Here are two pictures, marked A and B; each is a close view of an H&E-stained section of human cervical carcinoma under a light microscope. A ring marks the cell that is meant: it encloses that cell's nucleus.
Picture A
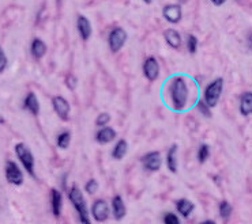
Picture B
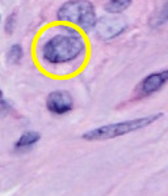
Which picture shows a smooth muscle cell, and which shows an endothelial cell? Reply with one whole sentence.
Picture A is of a smooth muscle cell, and picture B is of an endothelial cell.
